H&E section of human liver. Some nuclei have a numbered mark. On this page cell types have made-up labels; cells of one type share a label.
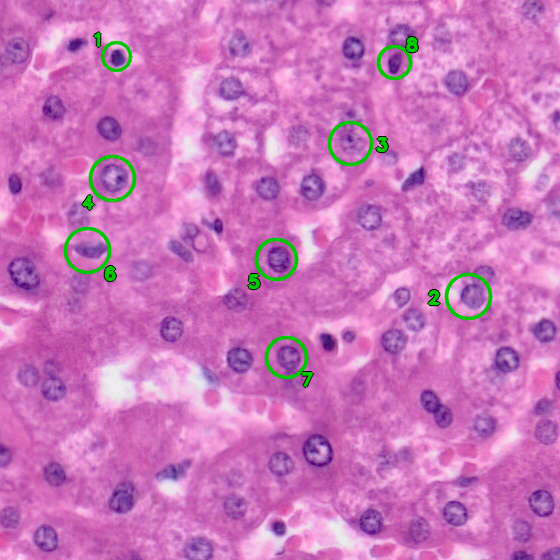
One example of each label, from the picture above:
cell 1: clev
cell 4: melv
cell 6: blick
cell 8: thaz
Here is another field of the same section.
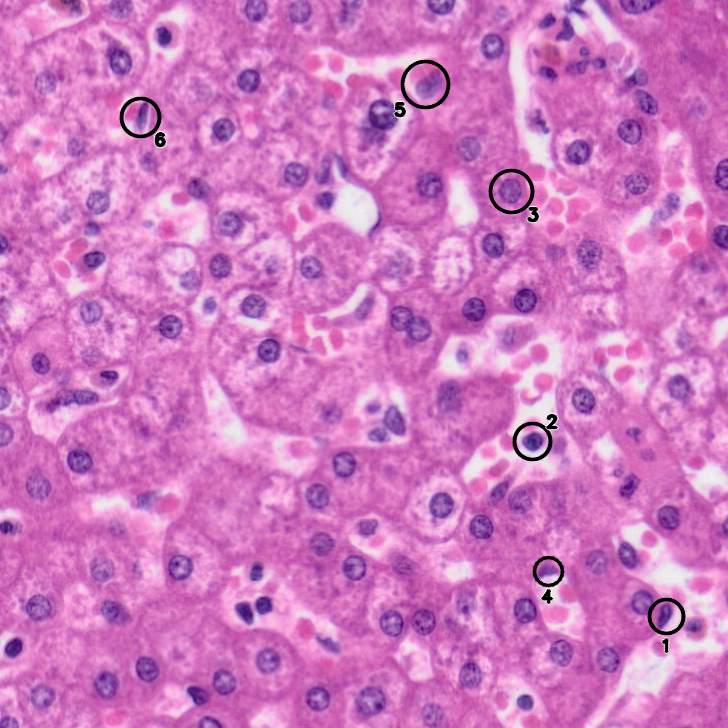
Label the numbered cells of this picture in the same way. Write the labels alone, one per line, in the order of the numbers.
thaz
clev
melv
blick
blick
blick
